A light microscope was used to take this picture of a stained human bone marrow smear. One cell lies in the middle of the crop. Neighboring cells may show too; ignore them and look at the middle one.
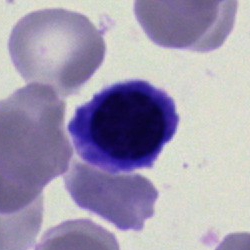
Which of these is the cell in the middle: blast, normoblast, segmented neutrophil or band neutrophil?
normoblast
